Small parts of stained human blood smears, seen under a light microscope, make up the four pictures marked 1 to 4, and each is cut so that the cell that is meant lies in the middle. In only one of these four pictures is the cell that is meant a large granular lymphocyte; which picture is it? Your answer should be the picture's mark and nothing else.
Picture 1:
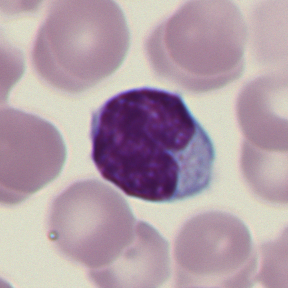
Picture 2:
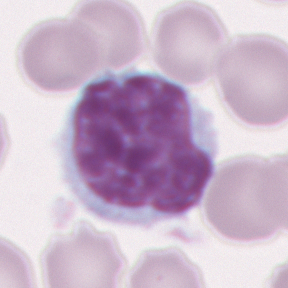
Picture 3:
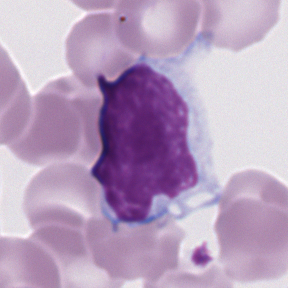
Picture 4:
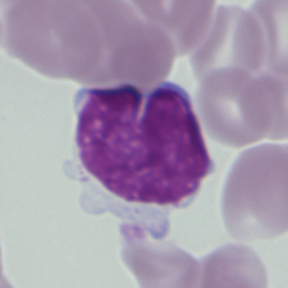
4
